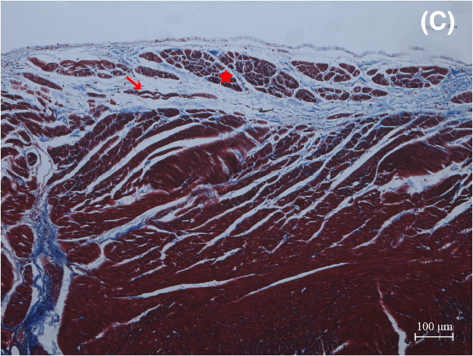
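This is a section of the heart wall at the endocardial surface. A layer of Purkinje fibres lies just beneath the surface, above the working myocardium. These fibres form red-stained bundles set in abundant blue-stained connective tissue. Some bundles are cut across and others run lengthwise. Below this layer, the myocardium is dense and red. Its fibres run obliquely and are separated by pale clefts and thin blue strands.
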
